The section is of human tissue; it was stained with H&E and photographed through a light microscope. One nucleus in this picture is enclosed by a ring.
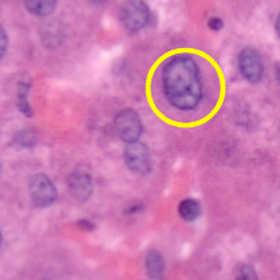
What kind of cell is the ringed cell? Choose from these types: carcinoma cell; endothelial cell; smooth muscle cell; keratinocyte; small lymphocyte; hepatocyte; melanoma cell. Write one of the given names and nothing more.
hepatocyte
